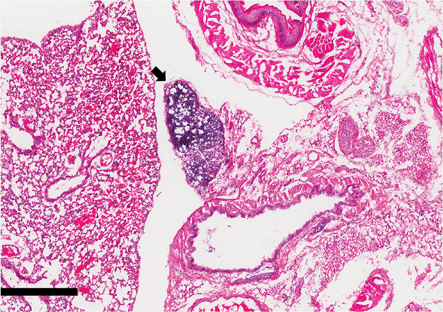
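This is a lung section in pink and purple, with pale pink, lacy alveolar tissue of thin septa and open air spaces on the left. Beside it, marked by an arrow, lies a compact dark purple nodule of crowded cells with a few pale spaces inside it. To the right and below lie denser pink tissues and a larger tubular structure.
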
